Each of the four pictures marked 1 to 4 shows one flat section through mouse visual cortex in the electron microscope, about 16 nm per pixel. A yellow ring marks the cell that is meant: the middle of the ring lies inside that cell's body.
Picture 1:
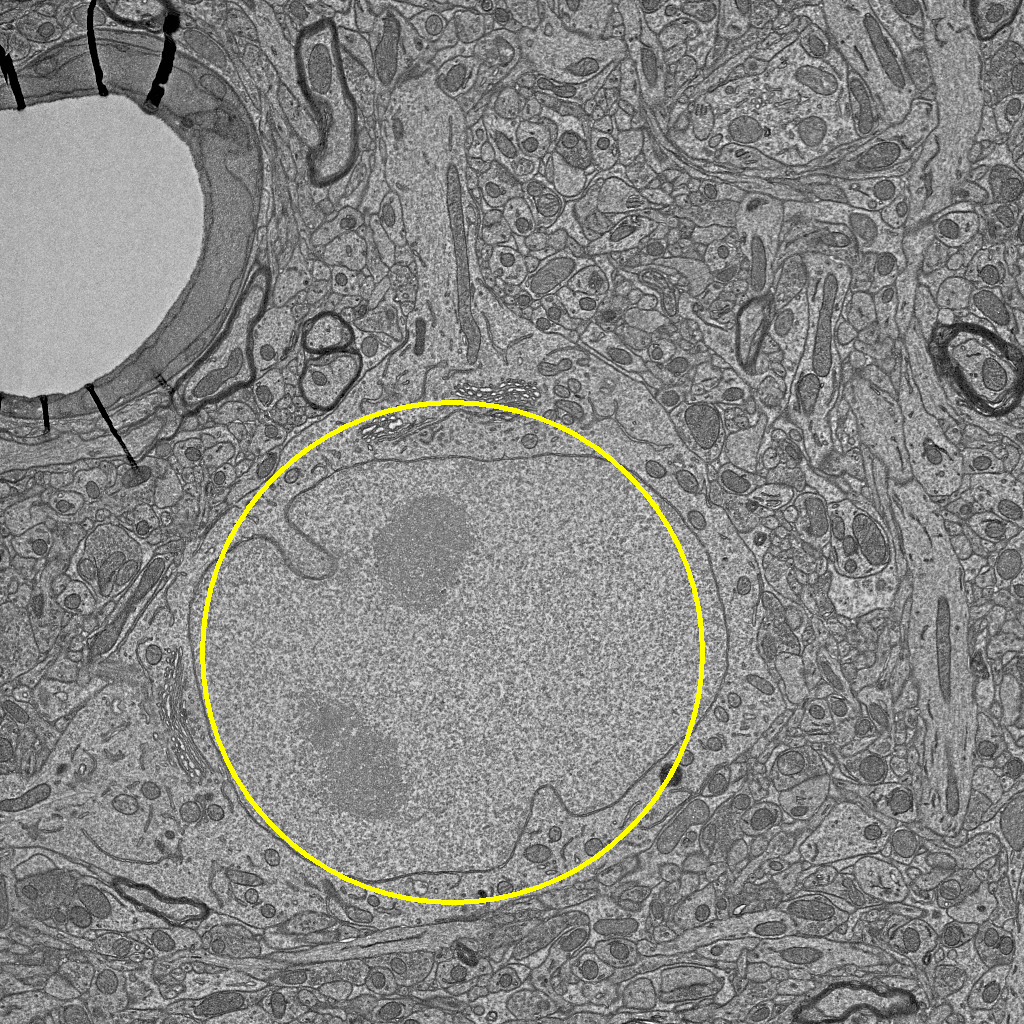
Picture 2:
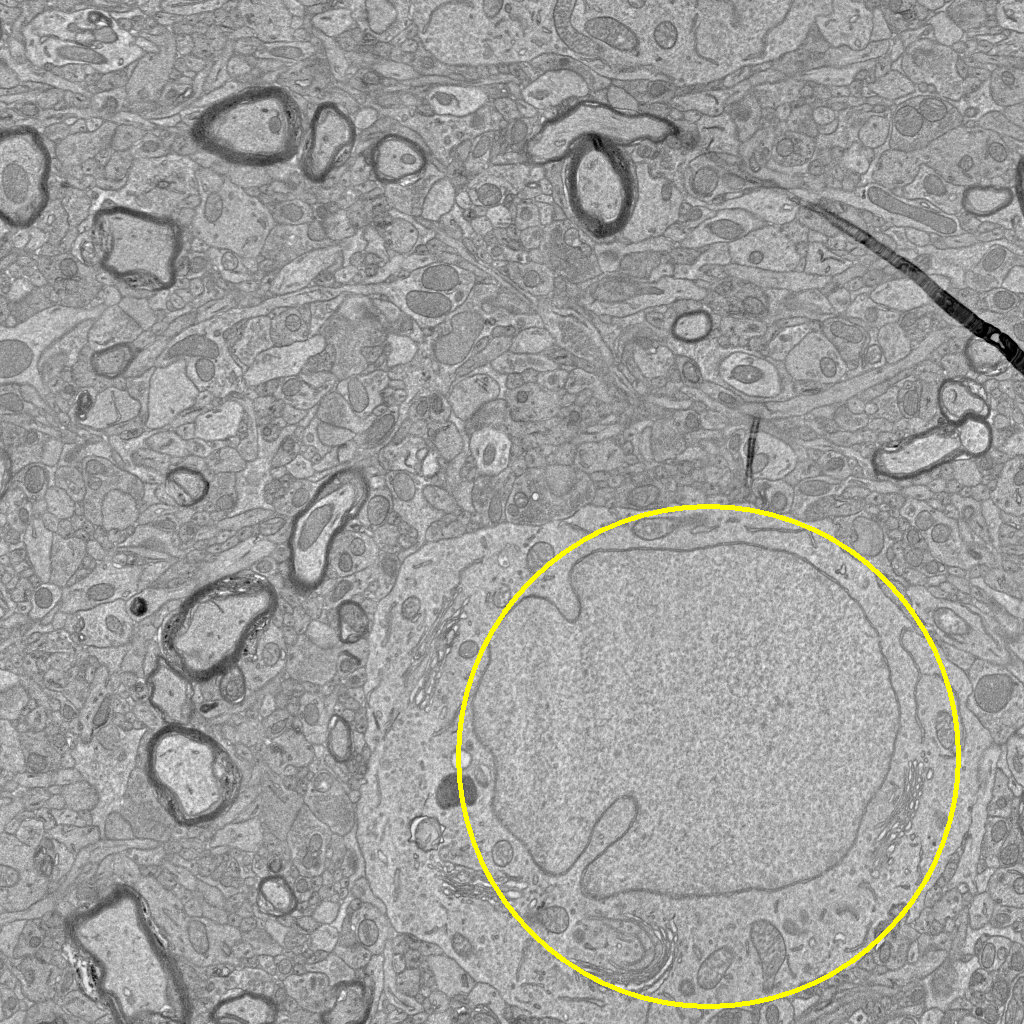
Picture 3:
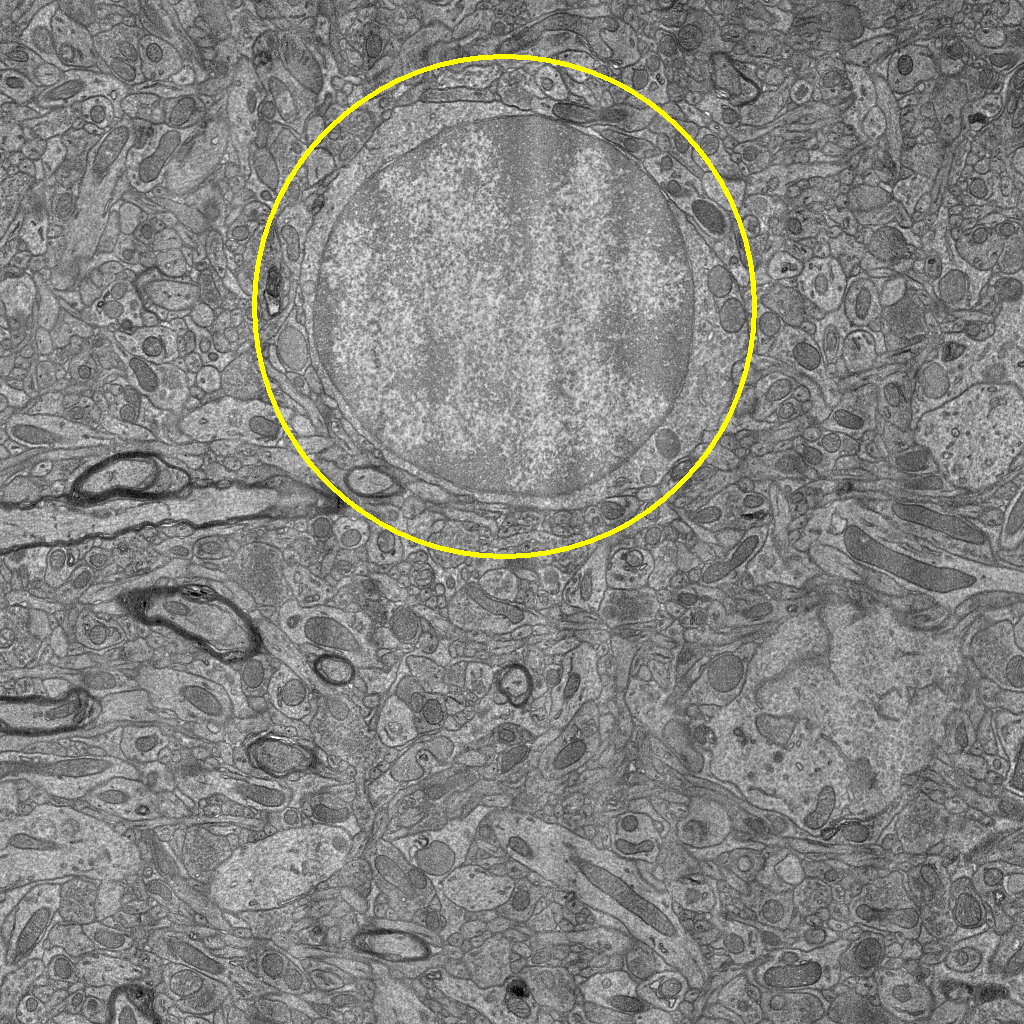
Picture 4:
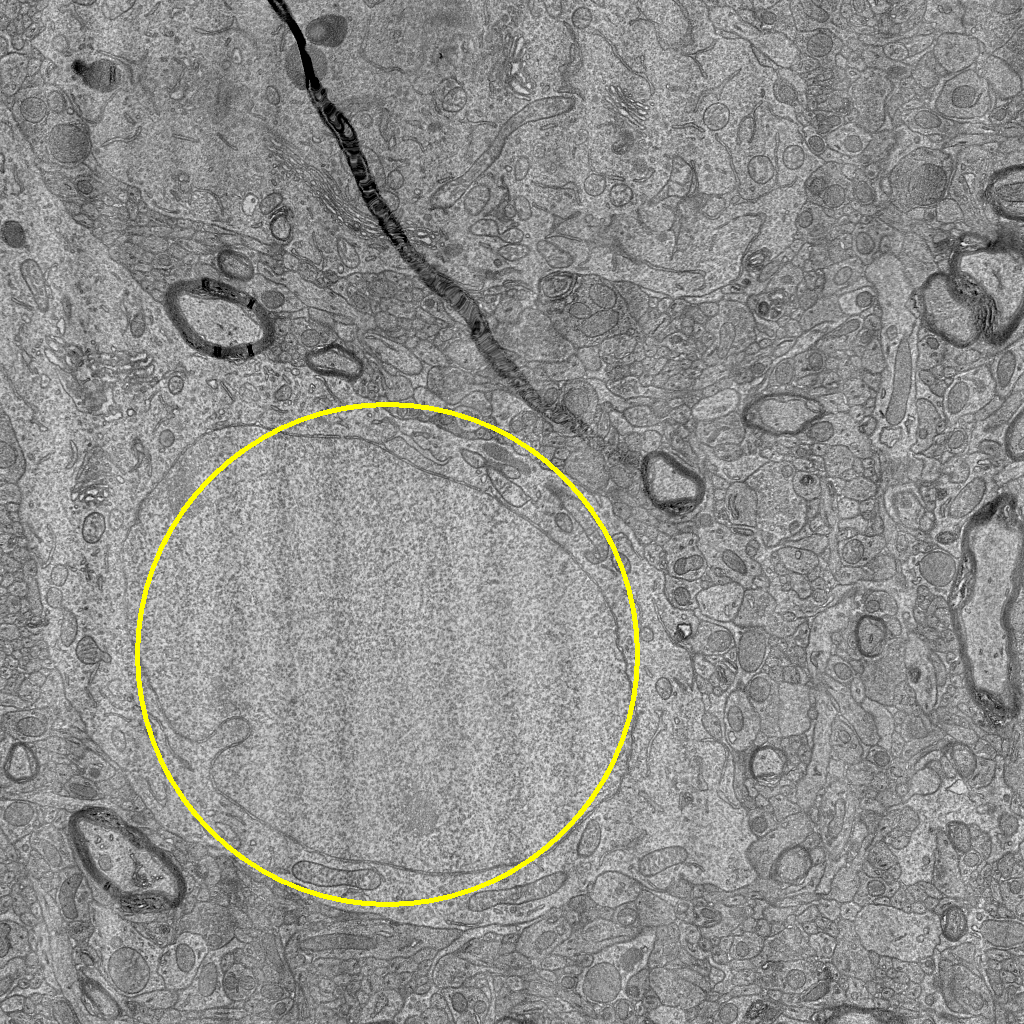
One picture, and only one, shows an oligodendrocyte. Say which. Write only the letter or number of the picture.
3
